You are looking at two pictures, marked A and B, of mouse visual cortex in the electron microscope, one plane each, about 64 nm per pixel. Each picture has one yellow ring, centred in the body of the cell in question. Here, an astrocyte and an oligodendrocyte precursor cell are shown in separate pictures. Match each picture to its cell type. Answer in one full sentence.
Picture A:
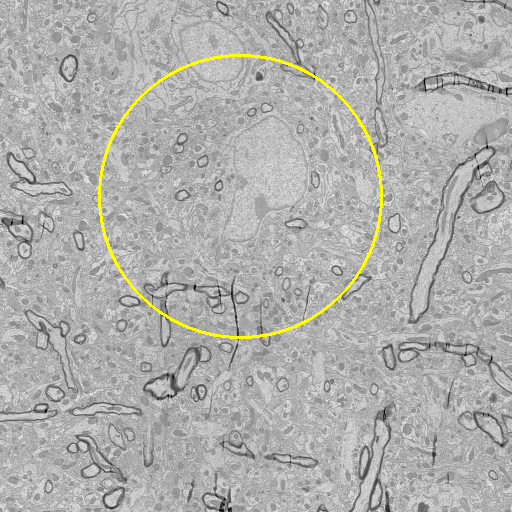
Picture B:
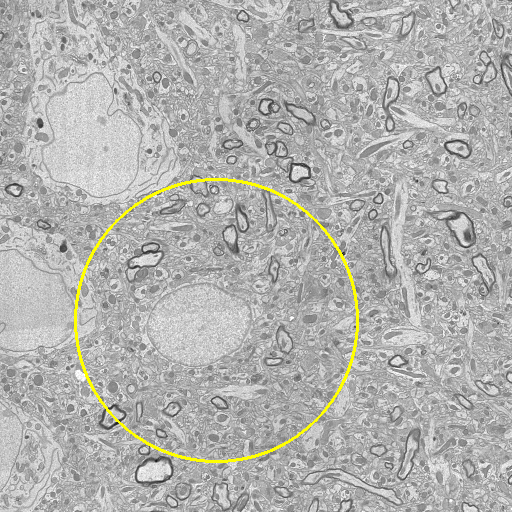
It is picture A that shows an oligodendrocyte precursor cell, and picture B that shows an astrocyte.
